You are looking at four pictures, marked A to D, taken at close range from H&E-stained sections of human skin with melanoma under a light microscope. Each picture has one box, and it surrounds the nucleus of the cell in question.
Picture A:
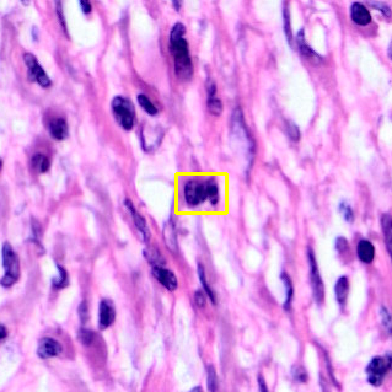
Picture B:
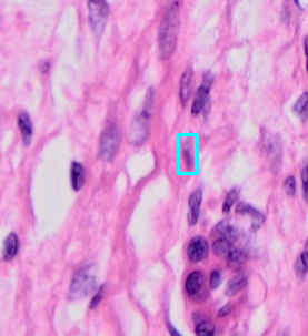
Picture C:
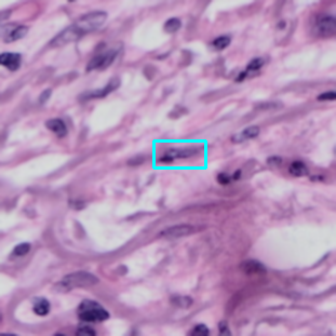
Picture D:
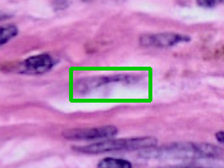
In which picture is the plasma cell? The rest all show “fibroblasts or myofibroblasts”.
A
